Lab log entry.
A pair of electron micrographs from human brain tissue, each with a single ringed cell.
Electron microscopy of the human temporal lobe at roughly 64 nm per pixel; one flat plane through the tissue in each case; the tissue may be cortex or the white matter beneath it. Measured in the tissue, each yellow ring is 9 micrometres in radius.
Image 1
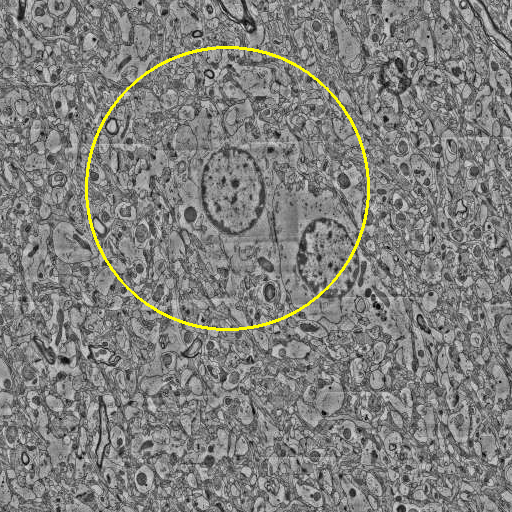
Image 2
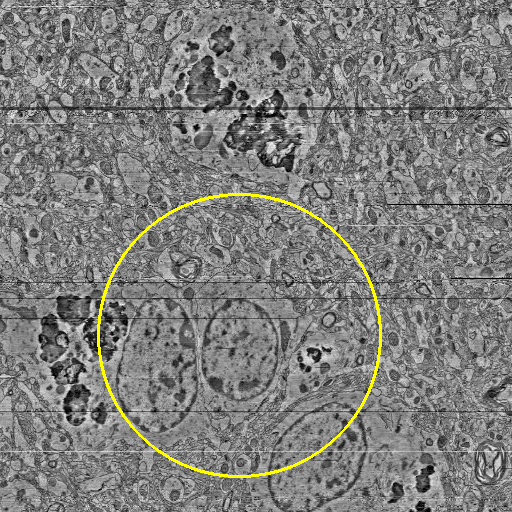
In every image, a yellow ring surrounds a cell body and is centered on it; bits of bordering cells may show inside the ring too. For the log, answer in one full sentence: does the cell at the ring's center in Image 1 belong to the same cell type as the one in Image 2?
Yes, the cells at the ring centers in Image 1 and Image 2 share one type.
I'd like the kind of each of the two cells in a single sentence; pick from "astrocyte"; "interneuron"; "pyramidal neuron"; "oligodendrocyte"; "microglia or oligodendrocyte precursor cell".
Both cells are the same kind, each one being an astrocyte.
